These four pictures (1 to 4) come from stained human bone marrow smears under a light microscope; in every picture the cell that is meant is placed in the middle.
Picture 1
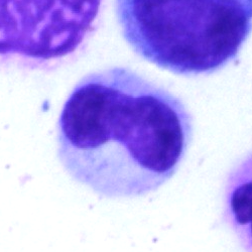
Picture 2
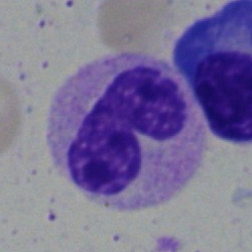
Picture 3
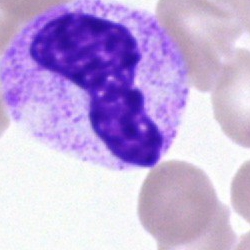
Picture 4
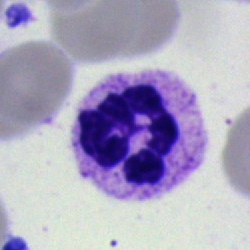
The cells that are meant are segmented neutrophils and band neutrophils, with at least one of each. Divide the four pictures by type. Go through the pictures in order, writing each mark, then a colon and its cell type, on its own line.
1: band neutrophil
2: band neutrophil
3: segmented neutrophil
4: segmented neutrophil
